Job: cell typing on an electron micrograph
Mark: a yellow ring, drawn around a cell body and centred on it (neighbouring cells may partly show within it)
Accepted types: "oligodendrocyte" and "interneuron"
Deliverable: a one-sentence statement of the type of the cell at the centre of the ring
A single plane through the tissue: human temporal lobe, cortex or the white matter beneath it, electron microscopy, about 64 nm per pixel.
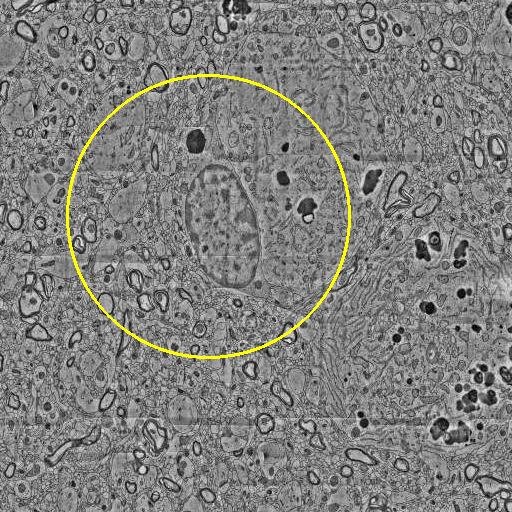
The centred cell body is that of an oligodendrocyte.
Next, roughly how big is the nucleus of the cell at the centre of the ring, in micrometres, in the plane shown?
The nucleus comes to roughly 8 by 4 micrometres in this plane.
